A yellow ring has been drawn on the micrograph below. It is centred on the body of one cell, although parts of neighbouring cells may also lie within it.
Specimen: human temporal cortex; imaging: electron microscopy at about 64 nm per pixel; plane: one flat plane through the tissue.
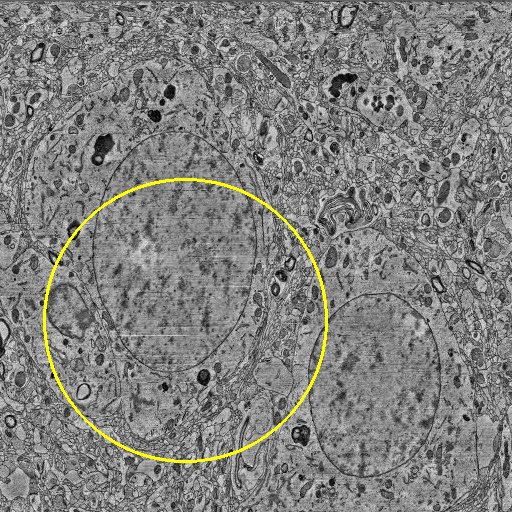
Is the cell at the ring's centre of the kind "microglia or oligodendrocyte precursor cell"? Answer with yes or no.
no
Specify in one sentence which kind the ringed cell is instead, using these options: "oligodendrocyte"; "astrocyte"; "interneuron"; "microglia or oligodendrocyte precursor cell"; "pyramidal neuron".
The cell at the ring centre is a pyramidal neuron.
